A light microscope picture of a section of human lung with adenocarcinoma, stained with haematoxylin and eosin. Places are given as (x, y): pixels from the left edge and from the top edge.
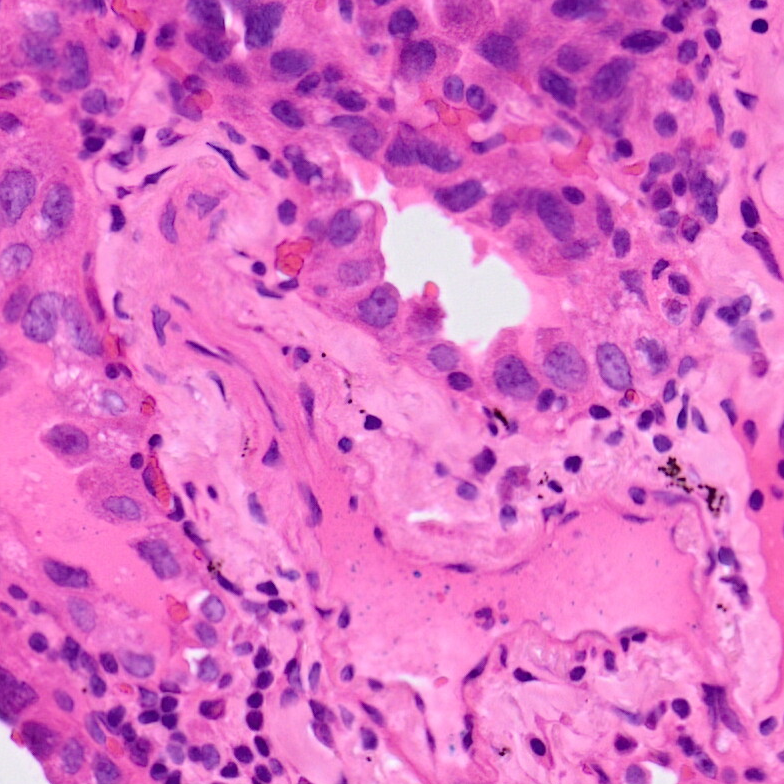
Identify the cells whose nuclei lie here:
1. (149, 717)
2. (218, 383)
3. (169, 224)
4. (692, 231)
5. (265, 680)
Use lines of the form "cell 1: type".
cell 1: lymphocyte
cell 2: fibroblast
cell 3: smooth muscle cell or pericyte
cell 4: plasma cell
cell 5: lymphocyte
